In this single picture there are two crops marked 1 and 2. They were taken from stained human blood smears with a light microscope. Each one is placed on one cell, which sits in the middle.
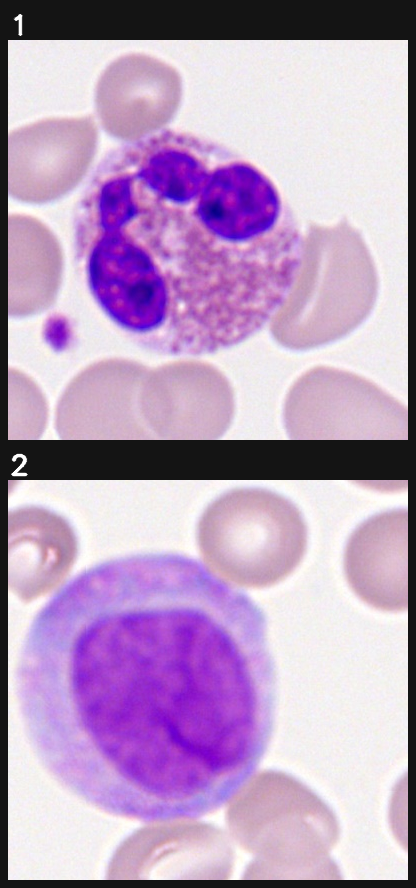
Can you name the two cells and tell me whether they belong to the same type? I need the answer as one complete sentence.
No, an eosinophil is depicted by crop 1, a monocyte by crop 2.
